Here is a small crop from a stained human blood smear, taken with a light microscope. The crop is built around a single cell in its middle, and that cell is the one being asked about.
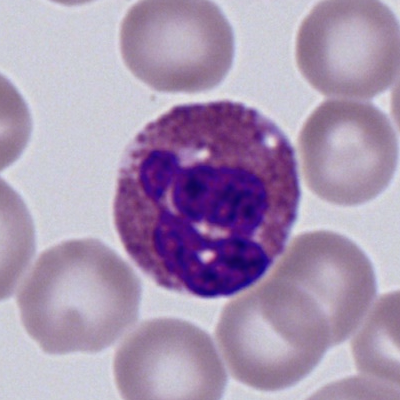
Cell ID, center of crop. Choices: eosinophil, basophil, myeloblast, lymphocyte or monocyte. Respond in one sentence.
Centrally within this crop lies an eosinophil.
